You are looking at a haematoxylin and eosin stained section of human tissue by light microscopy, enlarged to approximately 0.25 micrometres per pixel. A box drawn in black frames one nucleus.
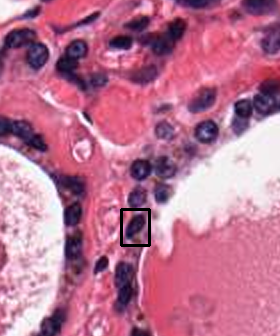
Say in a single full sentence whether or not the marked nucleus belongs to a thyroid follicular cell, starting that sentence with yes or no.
Yes, the marked nucleus is the nucleus of a thyroid follicular cell in this section.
